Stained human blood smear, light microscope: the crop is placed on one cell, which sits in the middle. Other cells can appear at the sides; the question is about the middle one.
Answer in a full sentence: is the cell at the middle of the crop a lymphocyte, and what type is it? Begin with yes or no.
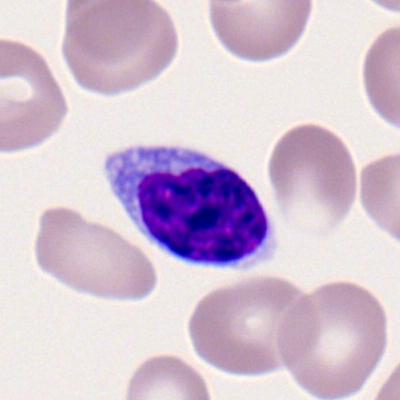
Yes, the cell in the middle is rightly called a lymphocyte.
